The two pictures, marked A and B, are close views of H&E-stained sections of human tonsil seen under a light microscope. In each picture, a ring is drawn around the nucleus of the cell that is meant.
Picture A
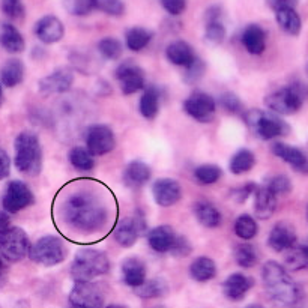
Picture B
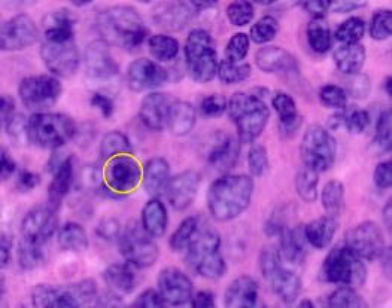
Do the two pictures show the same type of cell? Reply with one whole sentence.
Yes, both cells are proliferating B cells.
